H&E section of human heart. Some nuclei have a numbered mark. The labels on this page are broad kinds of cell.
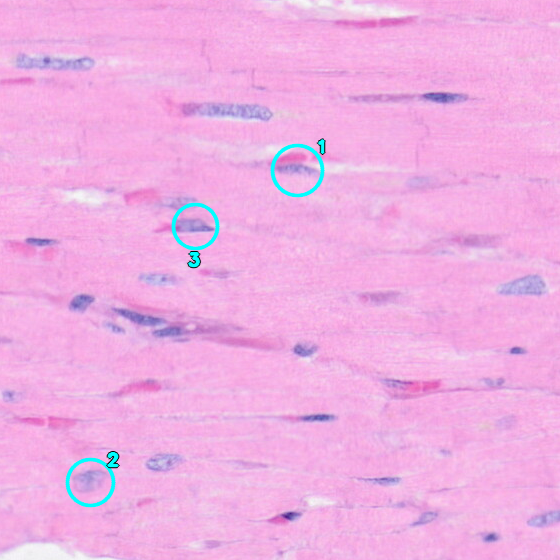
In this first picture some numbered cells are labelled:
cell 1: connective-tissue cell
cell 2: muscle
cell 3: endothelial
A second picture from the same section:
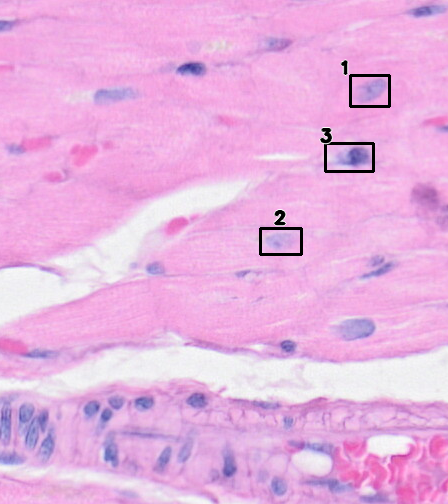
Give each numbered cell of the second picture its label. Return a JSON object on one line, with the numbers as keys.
{"1": "muscle", "2": "muscle", "3": "endothelial"}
